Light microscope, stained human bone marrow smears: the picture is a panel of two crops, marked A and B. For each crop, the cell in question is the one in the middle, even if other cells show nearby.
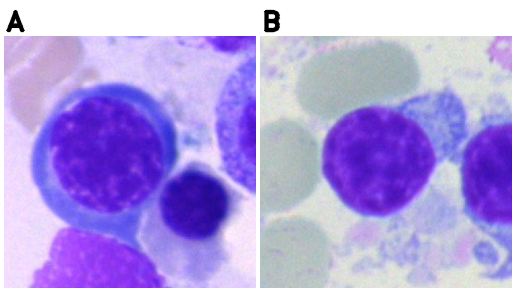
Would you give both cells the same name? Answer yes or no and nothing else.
no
